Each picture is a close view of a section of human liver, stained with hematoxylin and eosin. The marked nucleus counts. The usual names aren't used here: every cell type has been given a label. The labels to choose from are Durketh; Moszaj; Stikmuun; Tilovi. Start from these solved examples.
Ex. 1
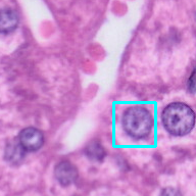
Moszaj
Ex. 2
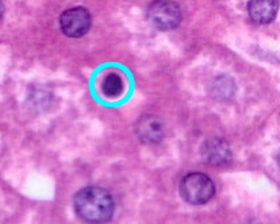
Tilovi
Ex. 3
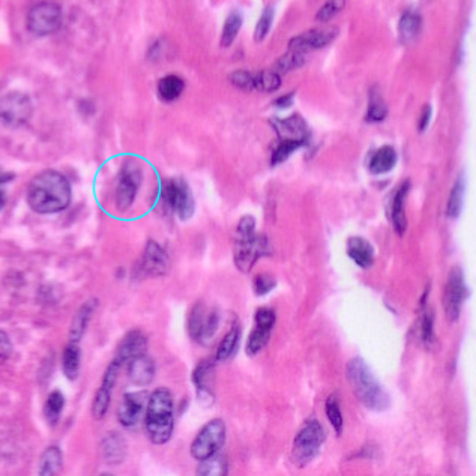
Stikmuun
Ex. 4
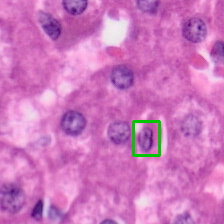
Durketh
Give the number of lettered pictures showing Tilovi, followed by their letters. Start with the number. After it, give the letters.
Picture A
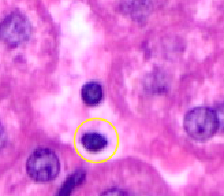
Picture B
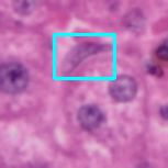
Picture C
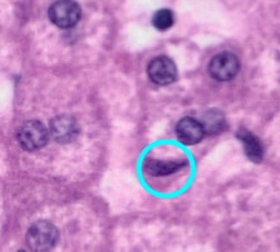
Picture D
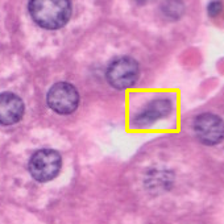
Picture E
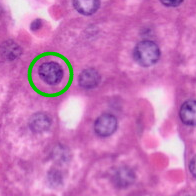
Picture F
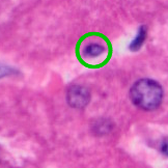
2: A, F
